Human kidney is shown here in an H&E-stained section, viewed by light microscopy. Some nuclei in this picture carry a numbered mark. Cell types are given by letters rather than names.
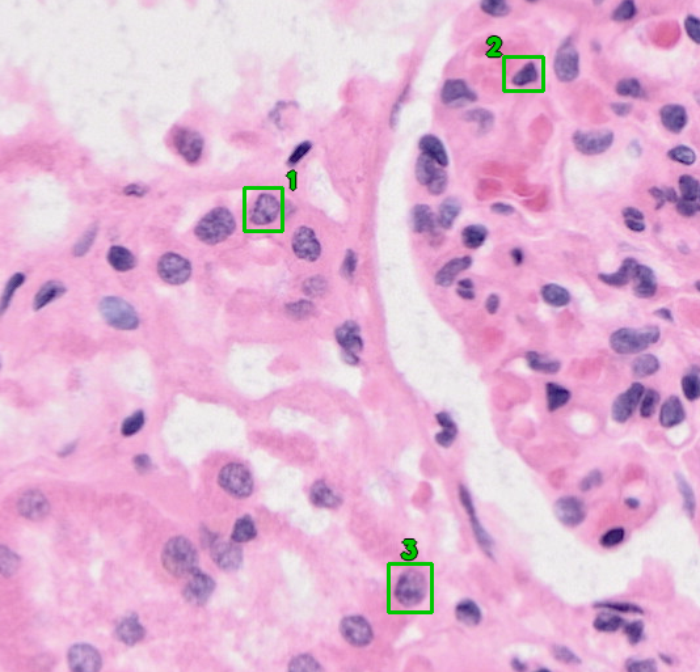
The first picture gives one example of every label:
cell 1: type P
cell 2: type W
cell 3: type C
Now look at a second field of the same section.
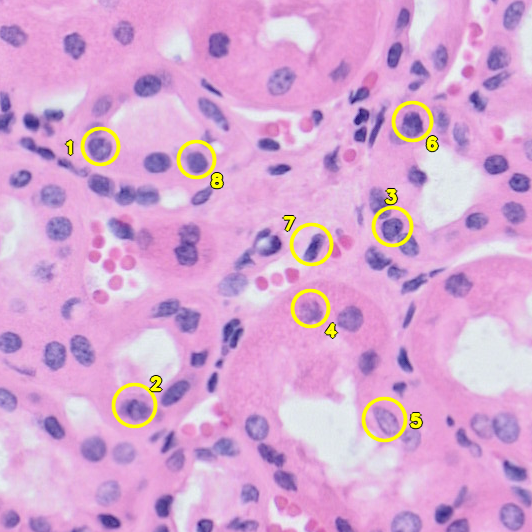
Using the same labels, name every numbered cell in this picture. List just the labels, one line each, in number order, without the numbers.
type P
type P
type P
type C
type C
type P
type W
type P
